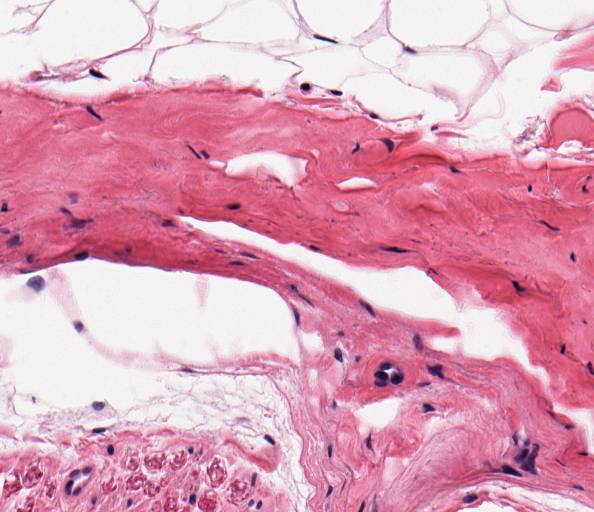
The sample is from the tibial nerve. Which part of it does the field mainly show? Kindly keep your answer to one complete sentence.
The part in view in this section is epineurium.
